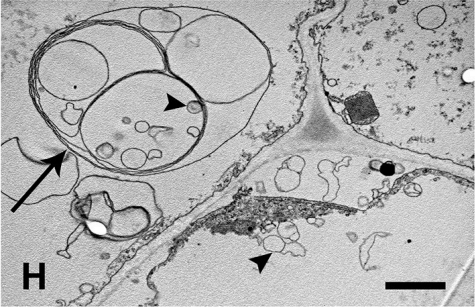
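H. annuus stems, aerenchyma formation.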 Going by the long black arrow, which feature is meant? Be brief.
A: Multilamellar structures.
